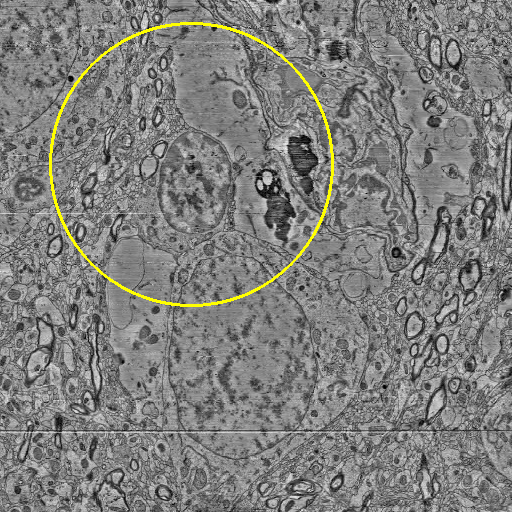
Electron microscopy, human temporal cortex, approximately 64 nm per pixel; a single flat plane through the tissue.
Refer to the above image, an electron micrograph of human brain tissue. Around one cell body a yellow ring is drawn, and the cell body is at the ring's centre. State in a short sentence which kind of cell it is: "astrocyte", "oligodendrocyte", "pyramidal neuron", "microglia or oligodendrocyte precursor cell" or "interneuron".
The centre of the ring falls on an oligodendrocyte.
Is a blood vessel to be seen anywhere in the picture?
Yes, one shows.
